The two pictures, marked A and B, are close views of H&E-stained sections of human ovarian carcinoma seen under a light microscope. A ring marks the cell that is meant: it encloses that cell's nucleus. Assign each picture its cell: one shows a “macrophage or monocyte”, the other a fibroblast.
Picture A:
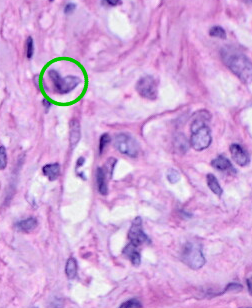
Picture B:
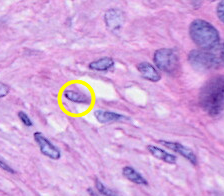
A: macrophage or monocyte
B: fibroblast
